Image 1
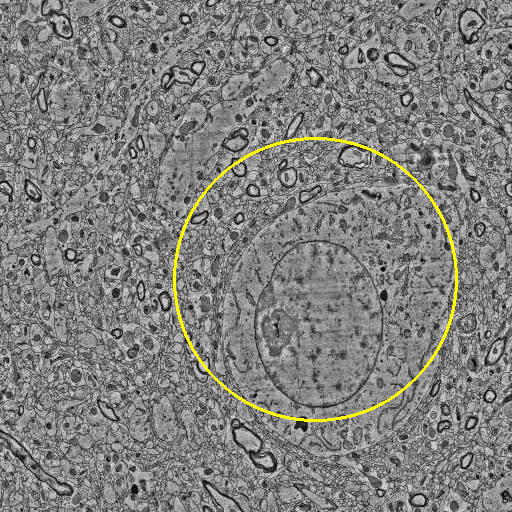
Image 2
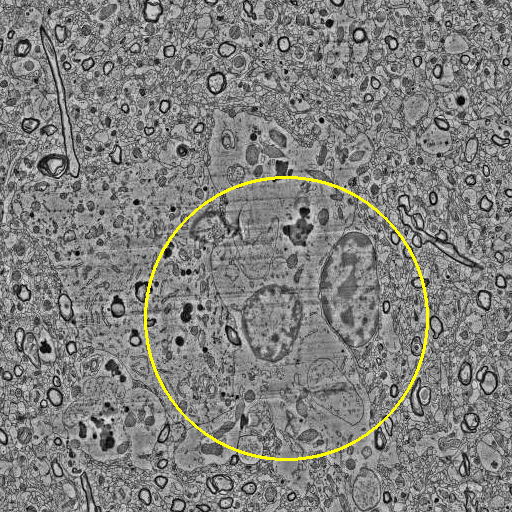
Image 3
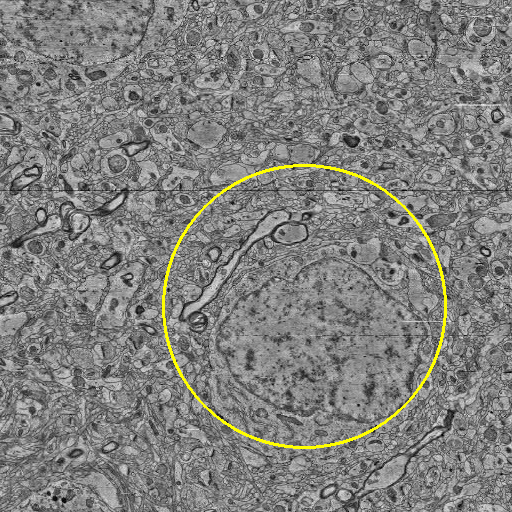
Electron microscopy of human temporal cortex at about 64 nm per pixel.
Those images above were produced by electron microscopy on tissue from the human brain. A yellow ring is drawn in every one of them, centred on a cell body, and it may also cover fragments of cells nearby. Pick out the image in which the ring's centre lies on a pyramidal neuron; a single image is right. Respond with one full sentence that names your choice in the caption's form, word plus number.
Image 1 is my choice: its ring is centred on the requested cell.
